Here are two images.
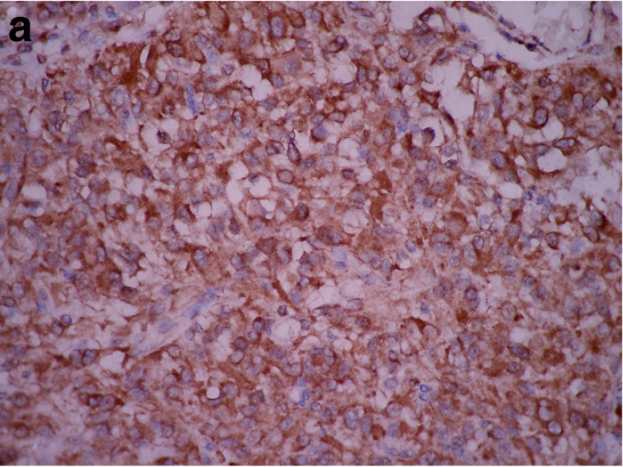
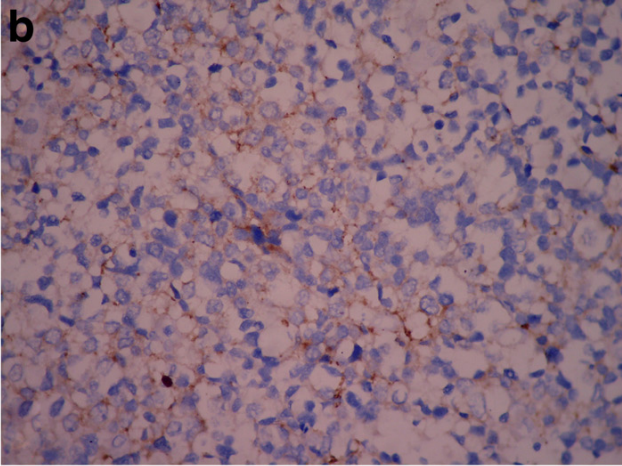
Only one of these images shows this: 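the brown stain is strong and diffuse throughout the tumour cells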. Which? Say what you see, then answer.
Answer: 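The first image. Second image: only faint, patchy brown stain between mostly blue, pale cells. First image: dense brown stain fills the cytoplasm of nearly all cells across the field.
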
